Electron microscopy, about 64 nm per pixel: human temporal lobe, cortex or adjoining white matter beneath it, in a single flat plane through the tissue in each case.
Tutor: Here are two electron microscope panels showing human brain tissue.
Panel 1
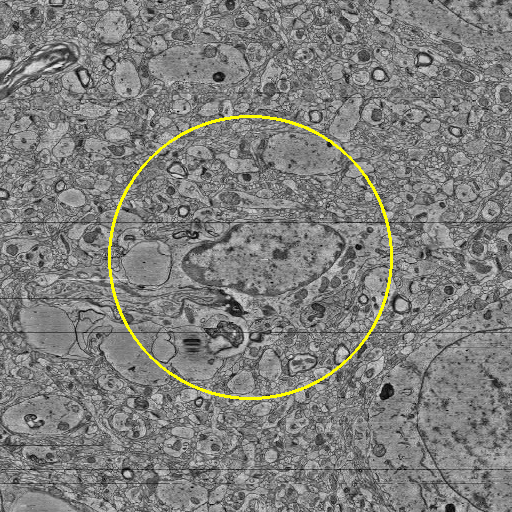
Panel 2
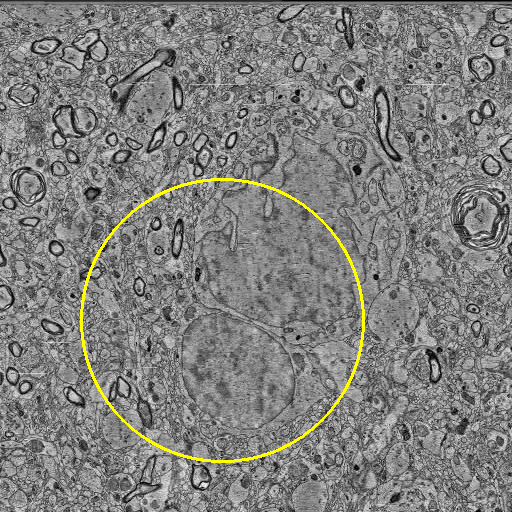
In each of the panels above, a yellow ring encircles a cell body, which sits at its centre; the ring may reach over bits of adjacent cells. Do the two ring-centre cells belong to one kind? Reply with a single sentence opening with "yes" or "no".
No, the two cells sitting at the ring centres in the panels belong to two kinds.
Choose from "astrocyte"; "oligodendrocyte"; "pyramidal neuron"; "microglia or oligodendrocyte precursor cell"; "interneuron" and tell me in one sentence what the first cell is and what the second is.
What the first ring is centred on is a microglial cell or oligodendrocyte precursor cell; what the second ring is centred on is an oligodendrocyte.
